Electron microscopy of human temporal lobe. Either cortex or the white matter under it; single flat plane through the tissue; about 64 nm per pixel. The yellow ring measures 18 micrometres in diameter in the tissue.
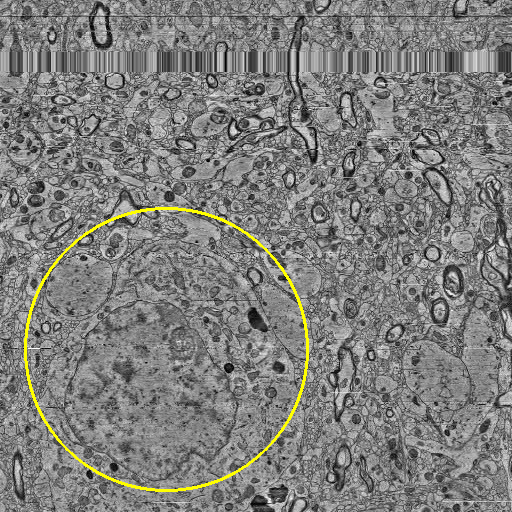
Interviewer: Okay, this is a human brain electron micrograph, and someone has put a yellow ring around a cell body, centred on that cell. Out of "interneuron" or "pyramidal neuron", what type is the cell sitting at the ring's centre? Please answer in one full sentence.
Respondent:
The cell at the centre of the yellow ring in this picture is an interneuron.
